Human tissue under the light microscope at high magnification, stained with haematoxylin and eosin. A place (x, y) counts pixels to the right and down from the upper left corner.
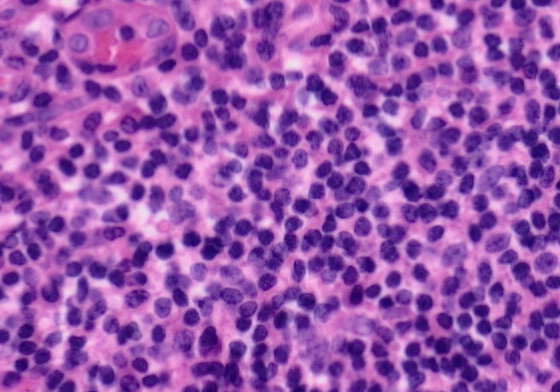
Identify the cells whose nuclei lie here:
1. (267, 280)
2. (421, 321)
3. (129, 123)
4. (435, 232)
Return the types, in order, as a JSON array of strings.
["small lymphocyte", "small lymphocyte", "plasma cell", "small lymphocyte"]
